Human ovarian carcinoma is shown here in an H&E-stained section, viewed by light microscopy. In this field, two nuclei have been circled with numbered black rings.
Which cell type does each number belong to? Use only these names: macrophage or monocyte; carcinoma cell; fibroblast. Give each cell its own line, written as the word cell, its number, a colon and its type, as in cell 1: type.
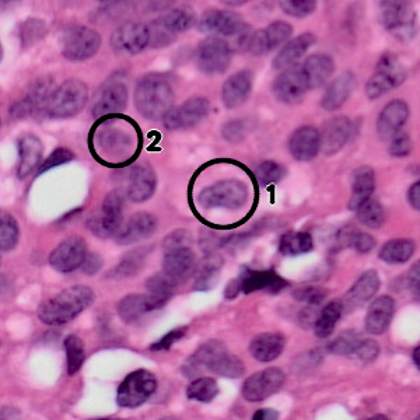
cell 1: macrophage or monocyte
cell 2: carcinoma cell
